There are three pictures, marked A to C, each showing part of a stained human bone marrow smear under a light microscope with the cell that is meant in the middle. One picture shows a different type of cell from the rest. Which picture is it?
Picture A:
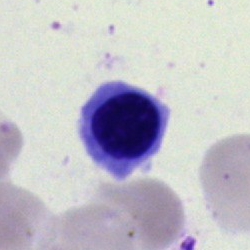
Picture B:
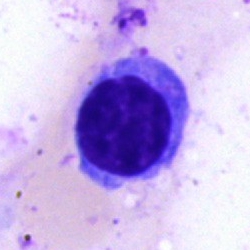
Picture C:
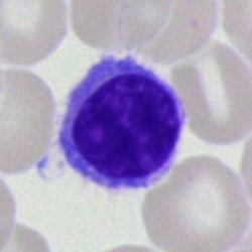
A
